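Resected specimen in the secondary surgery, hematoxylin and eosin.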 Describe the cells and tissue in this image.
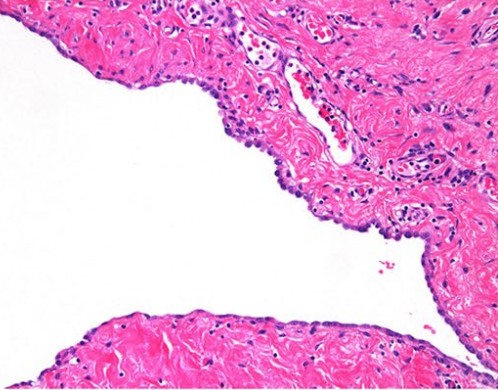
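Cyst wall lined by a single layer of flattened to cuboidal epithelial cells bordering a cleft-like empty lumen. Lining nuclei are small, round to oval and dark purple, set in a single row without stratification. The underlying wall is dense, bright pink collagenous tissue containing scattered small nuclei and a small thin-walled blood vessel with red blood cells. Stromal cells are more numerous near the vessel than in the deeper collagen.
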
